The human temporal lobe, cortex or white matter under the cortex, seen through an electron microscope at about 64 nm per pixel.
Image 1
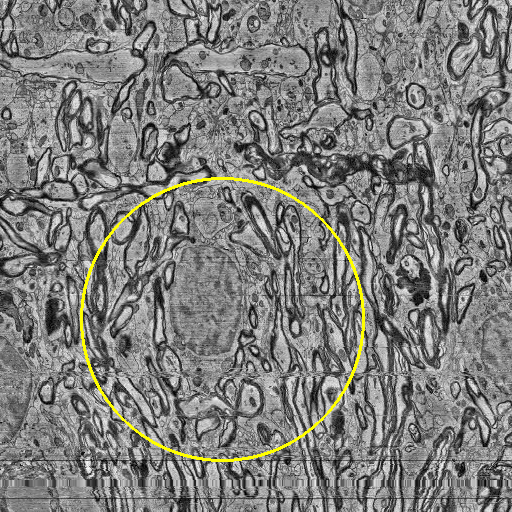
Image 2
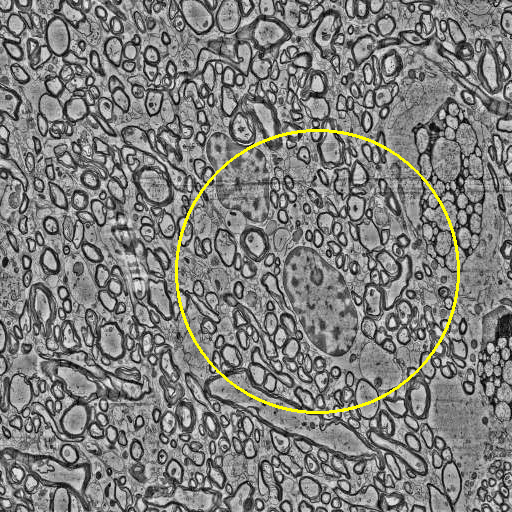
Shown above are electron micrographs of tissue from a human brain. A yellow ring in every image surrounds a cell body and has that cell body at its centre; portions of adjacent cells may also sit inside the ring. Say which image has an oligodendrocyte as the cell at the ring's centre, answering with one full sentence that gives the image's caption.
The image whose ring is centred on the requested cell is Image 1.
